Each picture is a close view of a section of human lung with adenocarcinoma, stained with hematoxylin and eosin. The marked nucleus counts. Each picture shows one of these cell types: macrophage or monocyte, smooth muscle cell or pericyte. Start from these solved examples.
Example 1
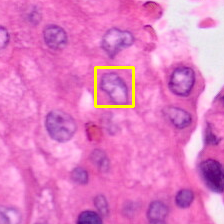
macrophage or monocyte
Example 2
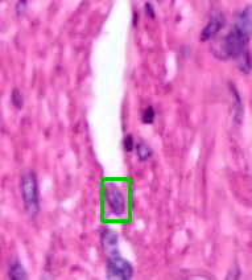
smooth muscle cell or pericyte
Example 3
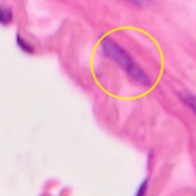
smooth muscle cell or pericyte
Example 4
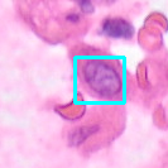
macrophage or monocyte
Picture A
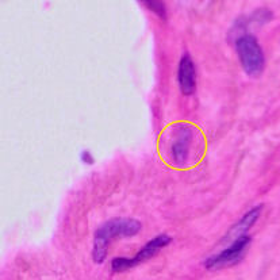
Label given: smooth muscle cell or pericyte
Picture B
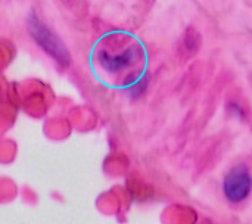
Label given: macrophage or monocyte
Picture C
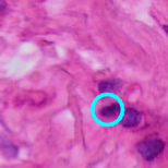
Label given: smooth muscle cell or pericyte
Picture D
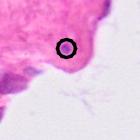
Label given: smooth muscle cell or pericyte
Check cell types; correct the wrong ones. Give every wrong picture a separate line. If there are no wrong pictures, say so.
B is labelled macrophage or monocyte; correct label: smooth muscle cell or pericyte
